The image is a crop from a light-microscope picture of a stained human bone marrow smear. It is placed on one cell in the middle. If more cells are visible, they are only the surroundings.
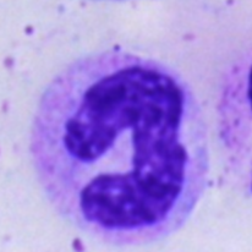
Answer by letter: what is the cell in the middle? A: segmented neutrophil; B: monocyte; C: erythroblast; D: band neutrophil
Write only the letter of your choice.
D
